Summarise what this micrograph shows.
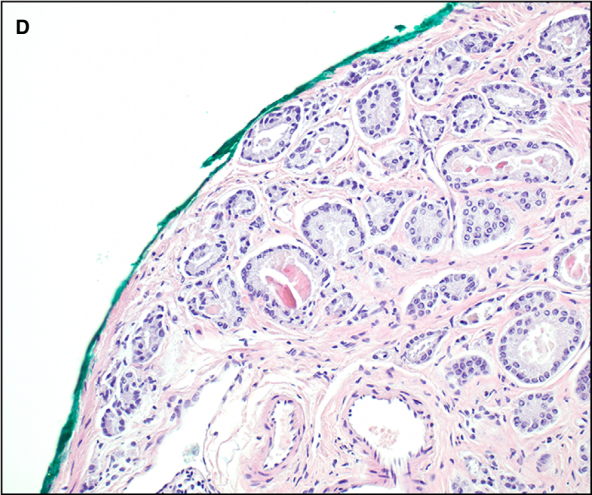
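Tumour composed of many small, closely packed glands lined by a single layer of cuboidal cells with round purple nuclei and pale cytoplasm, set in pink fibrous stroma. The glands extend right up to the green-inked tissue edge, some lumina holding pink secretions.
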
